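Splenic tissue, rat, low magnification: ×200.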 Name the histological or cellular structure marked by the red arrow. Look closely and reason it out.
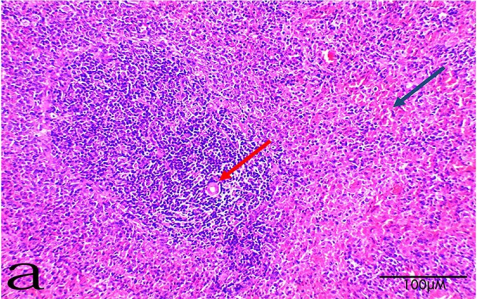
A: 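A small round vessel with a pink wall lies where the red arrow points. It sits inside a dense rounded cluster of dark blue-nucleated small cells.
Central arteriole.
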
